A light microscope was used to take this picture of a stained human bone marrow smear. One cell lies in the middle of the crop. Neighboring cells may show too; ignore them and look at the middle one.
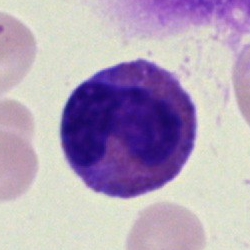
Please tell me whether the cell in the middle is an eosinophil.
yes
